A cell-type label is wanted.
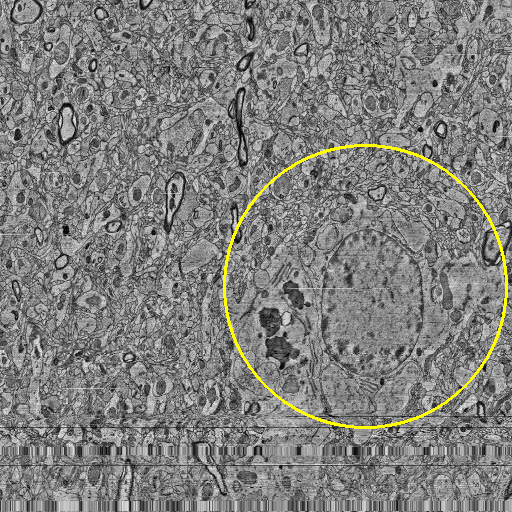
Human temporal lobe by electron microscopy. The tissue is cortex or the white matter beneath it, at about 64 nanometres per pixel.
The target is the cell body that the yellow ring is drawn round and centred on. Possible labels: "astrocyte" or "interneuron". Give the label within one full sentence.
Of the labels offered, the cell in the middle of the yellow ring is an astrocyte.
